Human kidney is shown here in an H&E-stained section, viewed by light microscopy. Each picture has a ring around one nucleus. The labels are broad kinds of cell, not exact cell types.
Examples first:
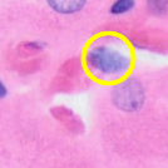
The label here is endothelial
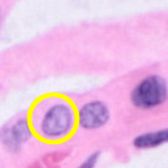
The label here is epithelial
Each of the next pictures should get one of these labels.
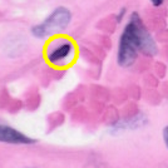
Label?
endothelial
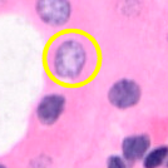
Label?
epithelial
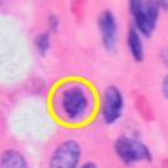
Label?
epithelial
